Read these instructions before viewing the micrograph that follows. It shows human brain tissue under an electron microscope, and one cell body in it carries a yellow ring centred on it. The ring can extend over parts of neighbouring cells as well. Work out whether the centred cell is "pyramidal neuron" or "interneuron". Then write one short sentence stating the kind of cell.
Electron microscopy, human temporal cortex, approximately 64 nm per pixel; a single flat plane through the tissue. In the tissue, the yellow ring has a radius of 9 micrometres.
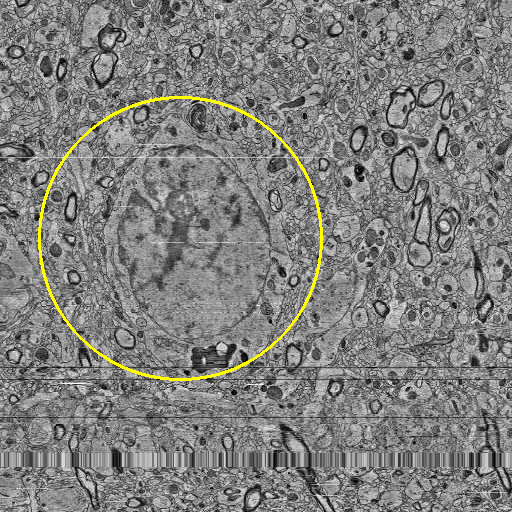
The ringed cell is an interneuron.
